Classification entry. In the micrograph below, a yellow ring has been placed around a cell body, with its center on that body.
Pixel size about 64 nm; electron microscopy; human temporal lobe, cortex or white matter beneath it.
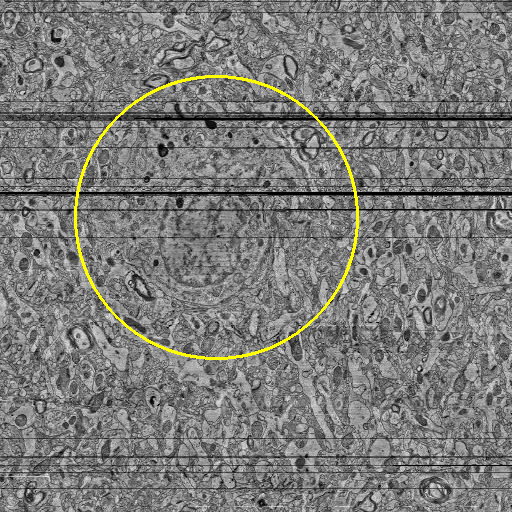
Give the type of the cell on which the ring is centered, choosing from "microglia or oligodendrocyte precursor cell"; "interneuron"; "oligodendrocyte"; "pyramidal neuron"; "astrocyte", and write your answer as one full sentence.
The cell body at the center of the yellow ring belongs to an interneuron.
